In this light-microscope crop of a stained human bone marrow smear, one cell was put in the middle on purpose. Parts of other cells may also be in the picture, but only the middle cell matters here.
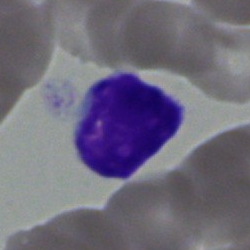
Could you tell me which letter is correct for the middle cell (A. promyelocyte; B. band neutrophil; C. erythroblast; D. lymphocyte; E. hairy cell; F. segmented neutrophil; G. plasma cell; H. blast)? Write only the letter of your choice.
D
